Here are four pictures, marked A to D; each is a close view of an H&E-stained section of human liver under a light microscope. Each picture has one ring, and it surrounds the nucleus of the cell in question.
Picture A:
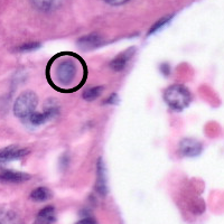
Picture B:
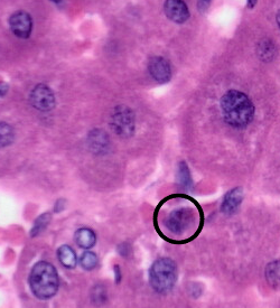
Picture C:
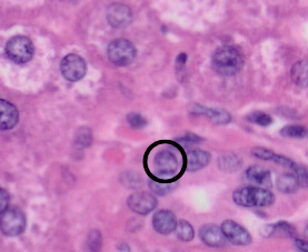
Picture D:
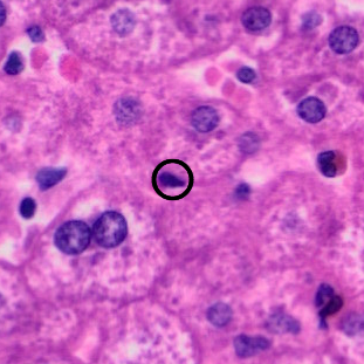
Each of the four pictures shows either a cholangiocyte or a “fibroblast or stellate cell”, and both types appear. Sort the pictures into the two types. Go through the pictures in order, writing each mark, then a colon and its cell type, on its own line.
A: cholangiocyte
B: fibroblast or stellate cell
C: cholangiocyte
D: fibroblast or stellate cell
